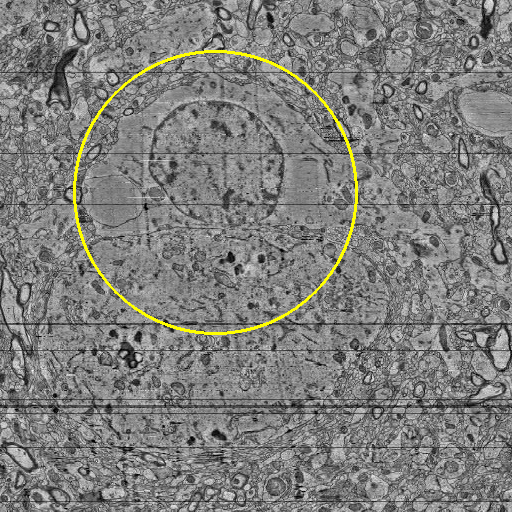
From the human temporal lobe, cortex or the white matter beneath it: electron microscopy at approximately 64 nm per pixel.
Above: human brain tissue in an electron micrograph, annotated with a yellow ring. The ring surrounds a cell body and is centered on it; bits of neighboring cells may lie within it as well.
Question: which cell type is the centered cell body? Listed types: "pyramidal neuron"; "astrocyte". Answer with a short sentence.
The centered cell body is an astrocyte.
